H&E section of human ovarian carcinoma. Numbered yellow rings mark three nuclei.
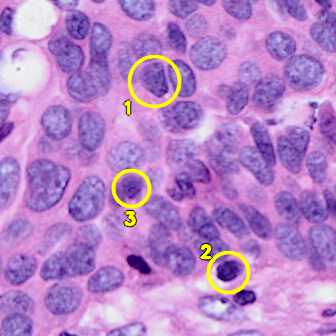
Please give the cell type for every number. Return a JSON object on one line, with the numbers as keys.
{"1": "carcinoma cell", "2": "lymphocyte", "3": "carcinoma cell"}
